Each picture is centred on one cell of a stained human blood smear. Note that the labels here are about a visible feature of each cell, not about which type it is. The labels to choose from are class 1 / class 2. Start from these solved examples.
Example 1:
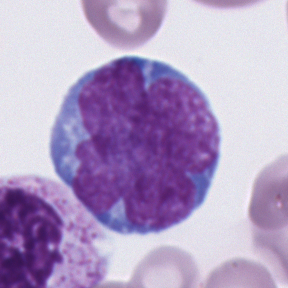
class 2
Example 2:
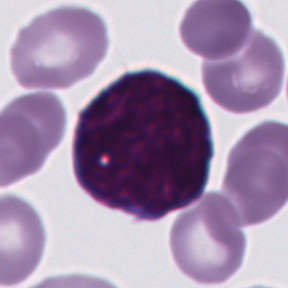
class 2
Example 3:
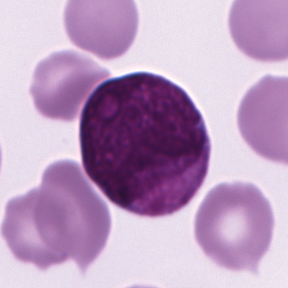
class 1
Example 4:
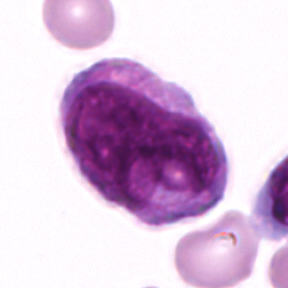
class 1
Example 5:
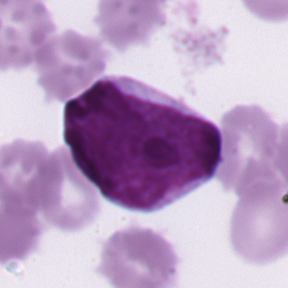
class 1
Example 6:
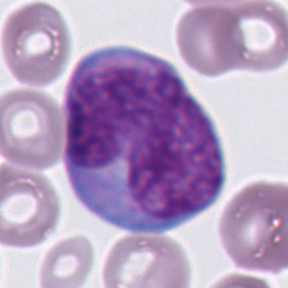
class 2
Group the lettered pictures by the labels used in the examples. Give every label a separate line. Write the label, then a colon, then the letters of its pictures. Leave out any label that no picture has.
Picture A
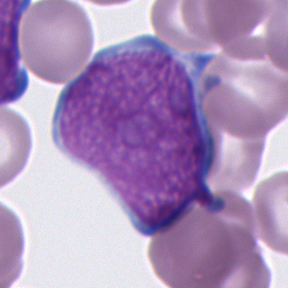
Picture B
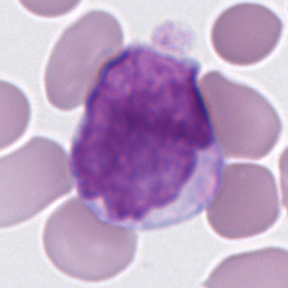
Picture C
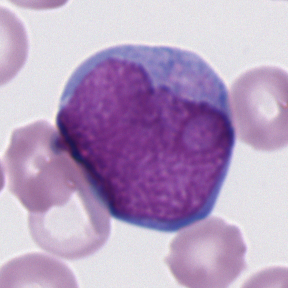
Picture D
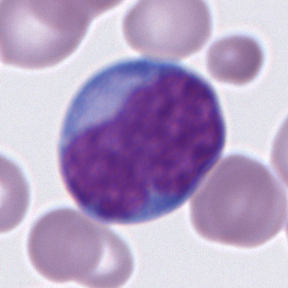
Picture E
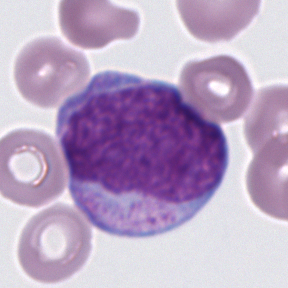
class 1: A, C
class 2: B, D, E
